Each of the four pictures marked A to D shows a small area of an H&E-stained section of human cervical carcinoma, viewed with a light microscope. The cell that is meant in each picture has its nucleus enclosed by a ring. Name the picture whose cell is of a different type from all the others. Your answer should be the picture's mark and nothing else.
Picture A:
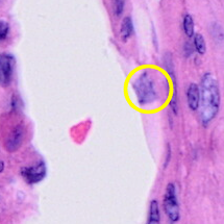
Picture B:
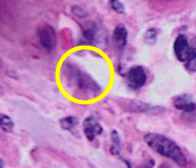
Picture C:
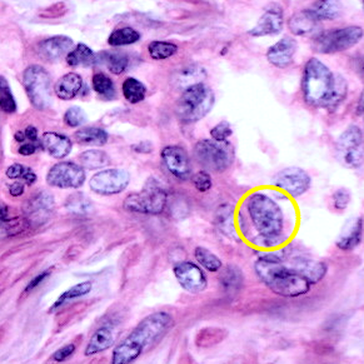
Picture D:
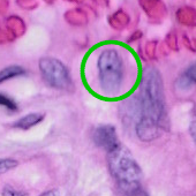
A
